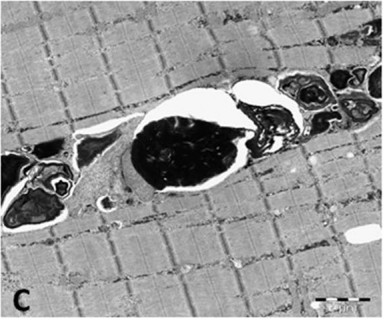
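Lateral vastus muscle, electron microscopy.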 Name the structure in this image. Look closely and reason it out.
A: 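Regular striated myofibrils with sarcomeres fill the field. A row of membrane-bound vacuoles lies between the myofibrils. The vacuoles hold dark granular and whorled membranous material.
Intermyofibrillar autophagic vacuoles.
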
